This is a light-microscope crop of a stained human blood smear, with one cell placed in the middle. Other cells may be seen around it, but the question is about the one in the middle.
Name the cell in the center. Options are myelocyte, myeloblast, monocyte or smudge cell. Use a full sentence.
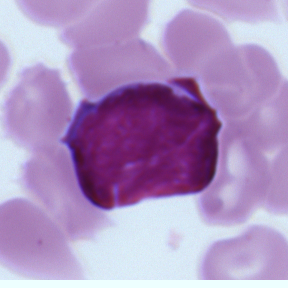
The central cell in this smear crop is a myeloblast.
